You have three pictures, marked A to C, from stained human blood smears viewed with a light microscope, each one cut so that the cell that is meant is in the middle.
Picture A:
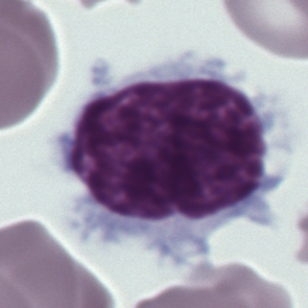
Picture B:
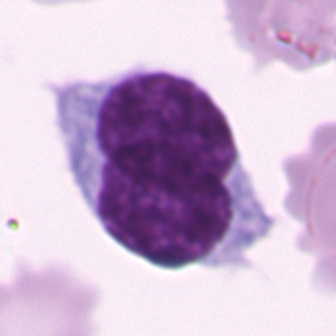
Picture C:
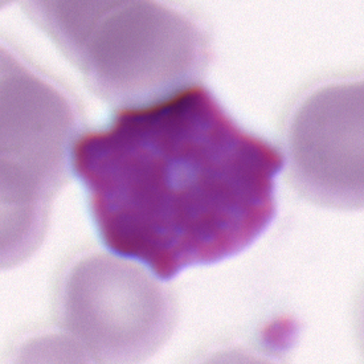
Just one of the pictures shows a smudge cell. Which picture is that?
C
